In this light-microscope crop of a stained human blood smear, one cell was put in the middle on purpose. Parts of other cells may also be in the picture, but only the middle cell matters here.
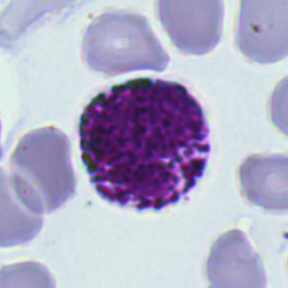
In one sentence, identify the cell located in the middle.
In the crop, the cell of interest at the centre is a basophil.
